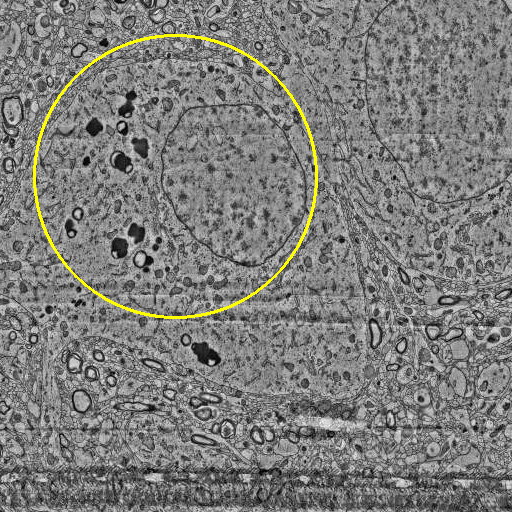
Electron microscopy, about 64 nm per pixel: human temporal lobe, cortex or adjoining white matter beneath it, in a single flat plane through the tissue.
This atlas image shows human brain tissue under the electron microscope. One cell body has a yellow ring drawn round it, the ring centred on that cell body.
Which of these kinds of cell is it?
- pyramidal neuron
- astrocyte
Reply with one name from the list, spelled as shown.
pyramidal neuron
